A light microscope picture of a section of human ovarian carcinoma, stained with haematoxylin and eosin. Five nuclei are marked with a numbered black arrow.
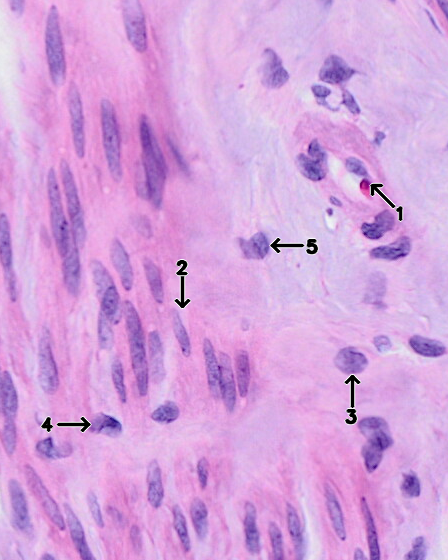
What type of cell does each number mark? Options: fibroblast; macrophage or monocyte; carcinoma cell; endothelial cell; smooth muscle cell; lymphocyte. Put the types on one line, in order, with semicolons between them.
endothelial cell; smooth muscle cell; fibroblast; fibroblast; fibroblast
